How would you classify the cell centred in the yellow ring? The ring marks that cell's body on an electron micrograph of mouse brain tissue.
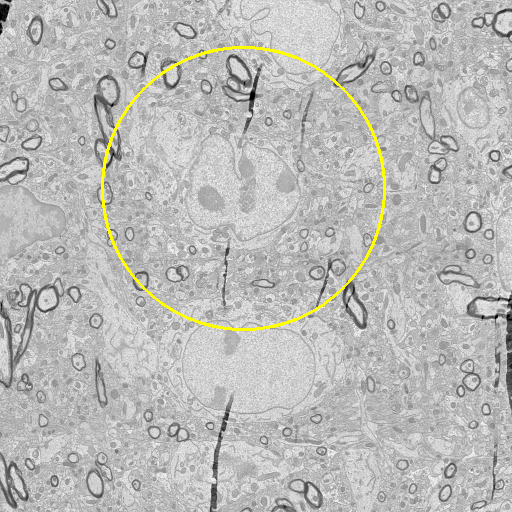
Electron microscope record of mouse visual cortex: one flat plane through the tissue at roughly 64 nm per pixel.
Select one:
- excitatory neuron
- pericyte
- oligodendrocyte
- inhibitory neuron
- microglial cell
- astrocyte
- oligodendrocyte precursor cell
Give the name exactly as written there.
oligodendrocyte precursor cell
